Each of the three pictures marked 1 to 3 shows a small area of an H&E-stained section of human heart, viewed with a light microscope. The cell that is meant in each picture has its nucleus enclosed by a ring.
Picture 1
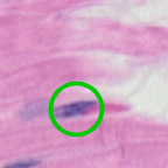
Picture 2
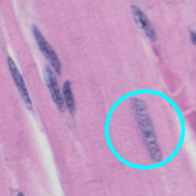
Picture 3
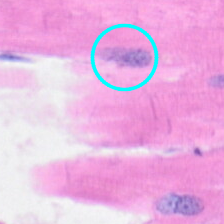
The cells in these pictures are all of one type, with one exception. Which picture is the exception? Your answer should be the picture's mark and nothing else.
1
